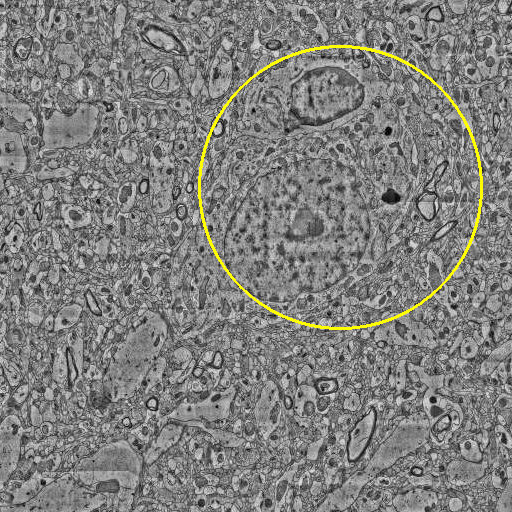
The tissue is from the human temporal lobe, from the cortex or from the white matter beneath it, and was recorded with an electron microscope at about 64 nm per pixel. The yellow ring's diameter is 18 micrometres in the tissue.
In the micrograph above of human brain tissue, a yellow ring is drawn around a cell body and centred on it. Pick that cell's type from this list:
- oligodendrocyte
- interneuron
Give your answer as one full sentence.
Going by the list, an interneuron is the cell on which the yellow ring is centred.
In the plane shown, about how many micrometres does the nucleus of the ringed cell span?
The ringed cell's nucleus measures approximately 10 by 8 micrometres in this plane.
